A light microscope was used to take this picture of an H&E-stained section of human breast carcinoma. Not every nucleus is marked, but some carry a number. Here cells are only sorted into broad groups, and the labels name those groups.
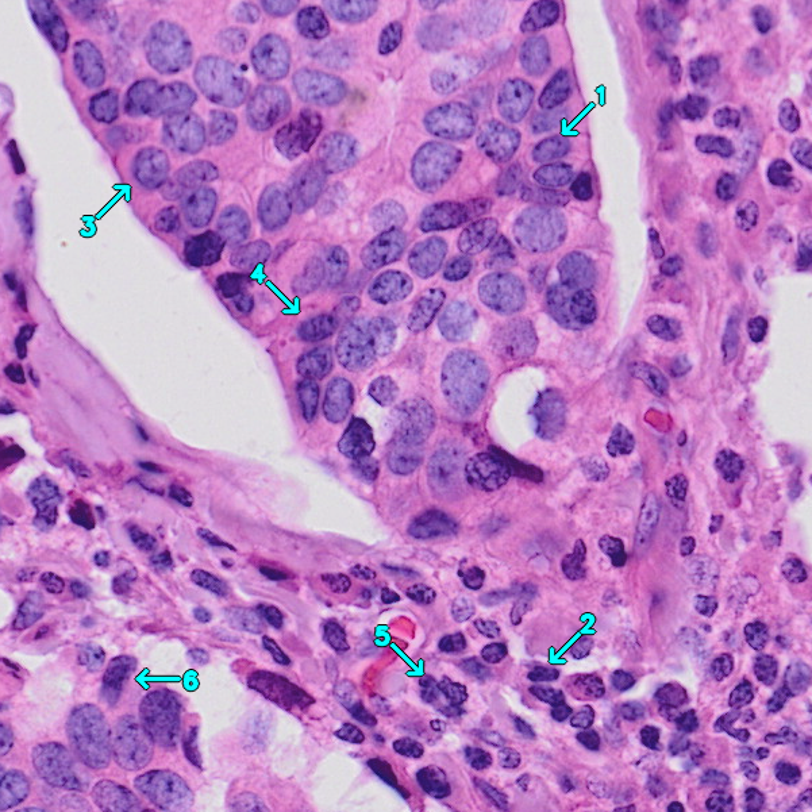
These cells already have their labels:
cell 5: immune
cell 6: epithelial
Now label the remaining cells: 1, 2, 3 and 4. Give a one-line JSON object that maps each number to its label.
{"1": "epithelial", "2": "immune", "3": "epithelial", "4": "epithelial"}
